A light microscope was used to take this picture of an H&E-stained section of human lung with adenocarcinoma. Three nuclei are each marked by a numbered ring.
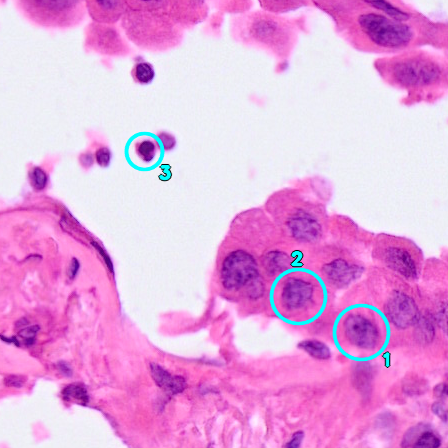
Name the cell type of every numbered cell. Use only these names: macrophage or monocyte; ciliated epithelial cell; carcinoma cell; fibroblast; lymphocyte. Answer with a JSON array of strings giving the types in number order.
["carcinoma cell", "carcinoma cell", "lymphocyte"]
